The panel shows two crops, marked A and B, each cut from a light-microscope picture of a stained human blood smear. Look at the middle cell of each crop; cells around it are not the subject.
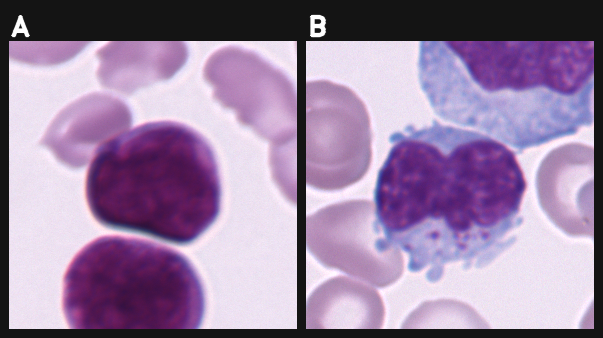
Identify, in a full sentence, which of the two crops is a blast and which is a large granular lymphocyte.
Classification: crop A is a blast, crop B is a large granular lymphocyte.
